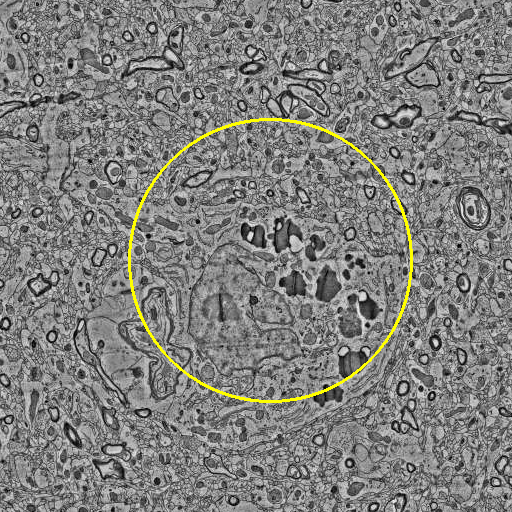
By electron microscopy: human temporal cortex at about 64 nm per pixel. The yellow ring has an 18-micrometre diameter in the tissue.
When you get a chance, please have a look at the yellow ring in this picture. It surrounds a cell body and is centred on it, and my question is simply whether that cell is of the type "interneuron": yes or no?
Yes, the cell is of that type.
